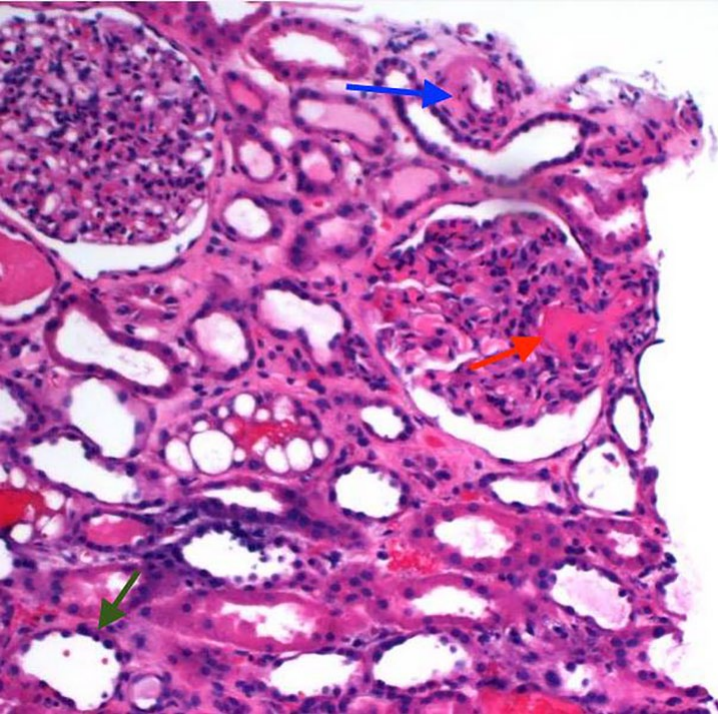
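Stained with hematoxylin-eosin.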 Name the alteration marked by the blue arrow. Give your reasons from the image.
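Hyperplastic small vessel. The arrow points to a small round structure with a thick, cellular wall. Its lumen is small and narrowed compared with the wall thickness.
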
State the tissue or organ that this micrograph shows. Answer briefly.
Kidney.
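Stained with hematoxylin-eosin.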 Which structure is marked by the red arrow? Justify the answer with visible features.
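Thrombus. The arrow points to a bright pink, homogeneous, cell-poor mass. The mass lies at the edge of the glomerular tuft where vessels enter.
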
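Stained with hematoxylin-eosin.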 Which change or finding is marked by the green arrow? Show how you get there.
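Dilation and flattening of the tubular epithelial cells. The arrow points to a tubule with a wide, empty lumen. The epithelium lining it is thin and flattened rather than cuboidal.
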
